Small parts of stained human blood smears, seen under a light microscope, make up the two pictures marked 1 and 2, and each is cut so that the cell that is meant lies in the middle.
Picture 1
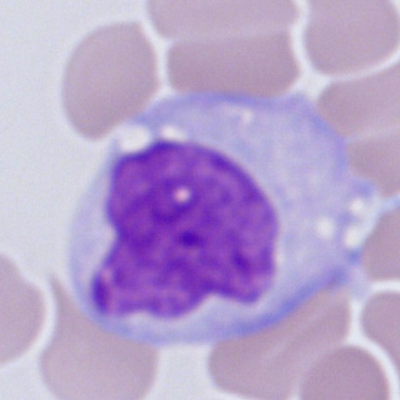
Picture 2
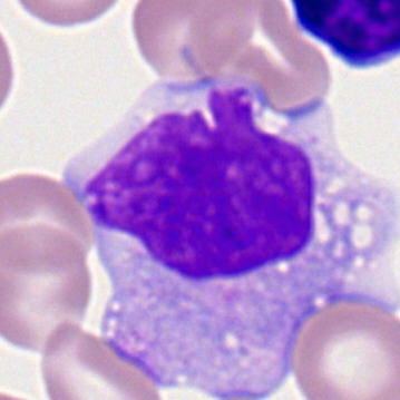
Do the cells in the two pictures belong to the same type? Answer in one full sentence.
Yes, the two pictures both show monocytes.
